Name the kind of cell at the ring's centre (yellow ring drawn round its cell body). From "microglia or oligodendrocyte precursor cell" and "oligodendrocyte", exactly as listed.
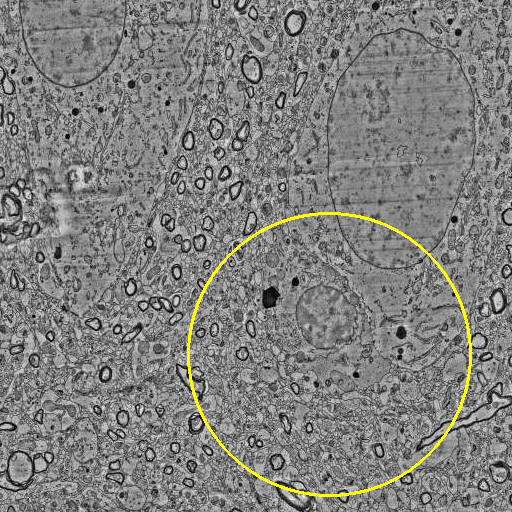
oligodendrocyte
